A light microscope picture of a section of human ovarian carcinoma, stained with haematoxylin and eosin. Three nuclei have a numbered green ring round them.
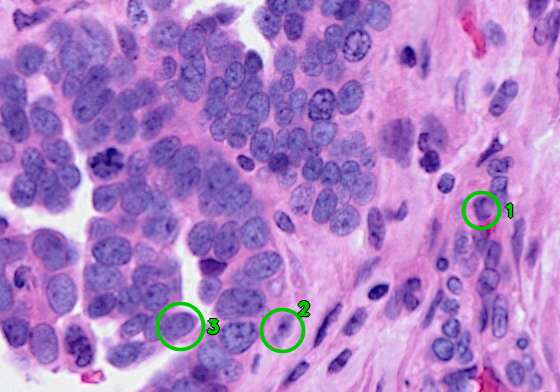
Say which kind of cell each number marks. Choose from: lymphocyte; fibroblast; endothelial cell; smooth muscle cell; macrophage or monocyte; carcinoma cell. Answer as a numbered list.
1. endothelial cell
2. fibroblast
3. carcinoma cell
